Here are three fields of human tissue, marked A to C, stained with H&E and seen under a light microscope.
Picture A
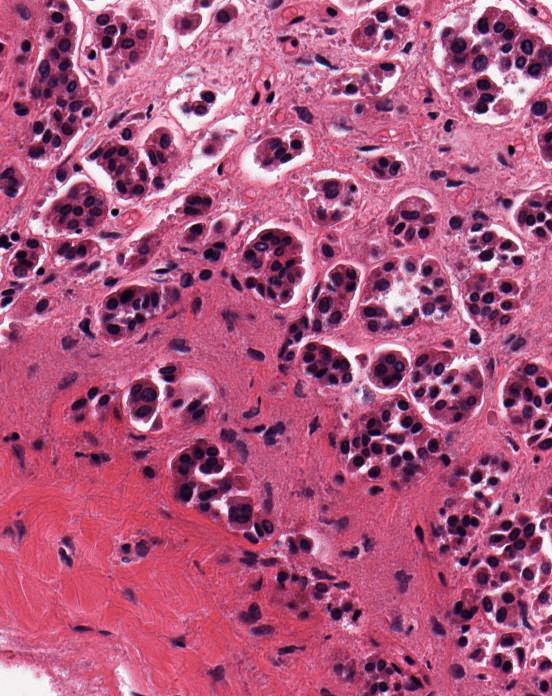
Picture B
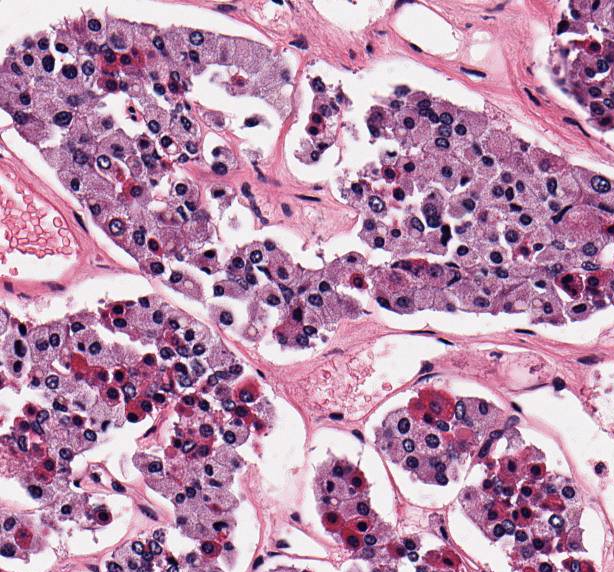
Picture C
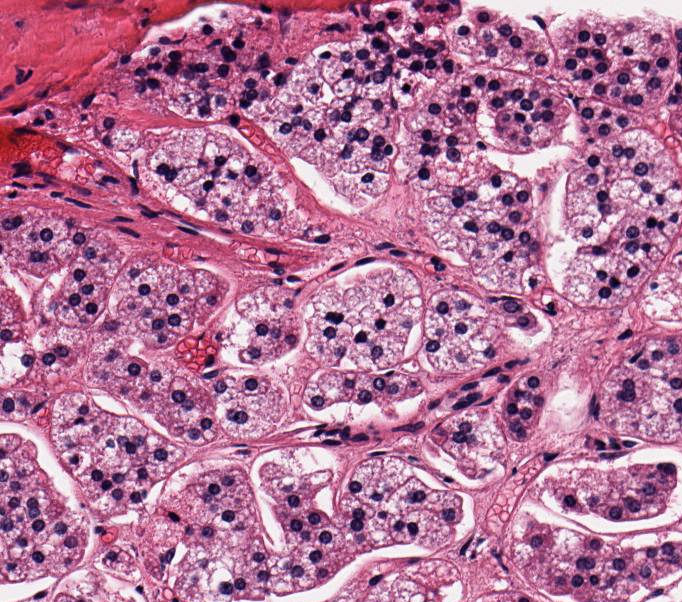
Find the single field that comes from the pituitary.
B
